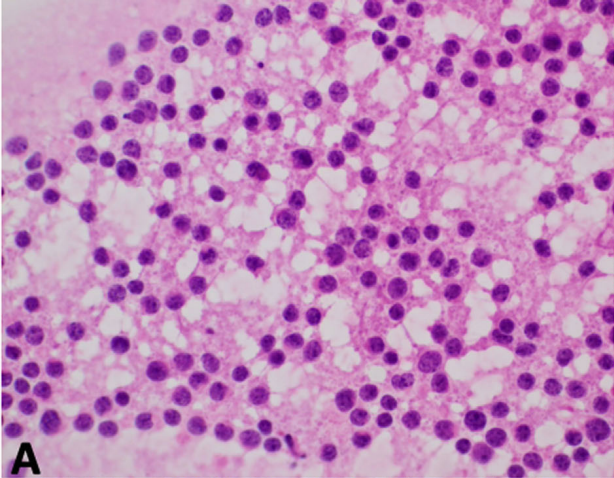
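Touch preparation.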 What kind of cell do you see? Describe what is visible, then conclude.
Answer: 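Small to intermediate cells with minimal cytoplasm. Discohesive round cells with dark purple round nuclei. Only a thin rim of cytoplasm around each nucleus. Cells are fairly uniform and small.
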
